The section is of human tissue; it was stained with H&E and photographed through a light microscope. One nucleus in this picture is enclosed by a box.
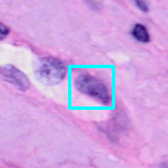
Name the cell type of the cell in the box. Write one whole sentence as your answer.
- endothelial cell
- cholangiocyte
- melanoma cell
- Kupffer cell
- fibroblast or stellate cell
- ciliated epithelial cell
Speaking plainly, the cell in the box is nothing other than an endothelial cell.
